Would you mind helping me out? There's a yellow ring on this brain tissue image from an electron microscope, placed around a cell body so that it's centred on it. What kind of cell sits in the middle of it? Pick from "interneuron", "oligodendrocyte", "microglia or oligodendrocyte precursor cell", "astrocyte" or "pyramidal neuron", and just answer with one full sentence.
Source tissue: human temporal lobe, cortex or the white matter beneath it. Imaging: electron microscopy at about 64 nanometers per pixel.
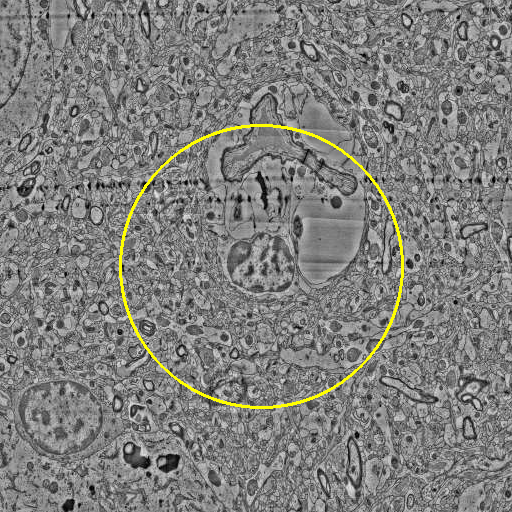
What sits in the middle of that yellow ring is a microglial cell or oligodendrocyte precursor cell, from your choices.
